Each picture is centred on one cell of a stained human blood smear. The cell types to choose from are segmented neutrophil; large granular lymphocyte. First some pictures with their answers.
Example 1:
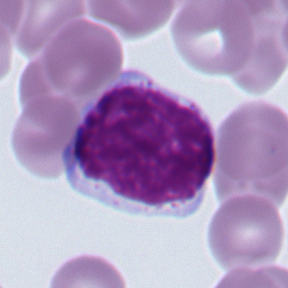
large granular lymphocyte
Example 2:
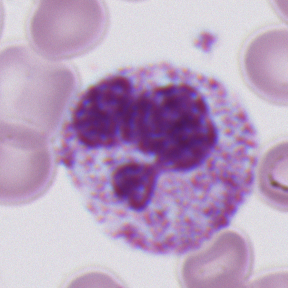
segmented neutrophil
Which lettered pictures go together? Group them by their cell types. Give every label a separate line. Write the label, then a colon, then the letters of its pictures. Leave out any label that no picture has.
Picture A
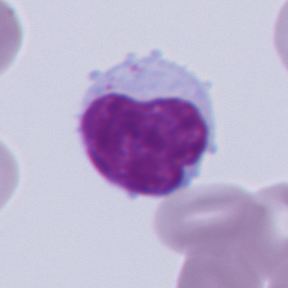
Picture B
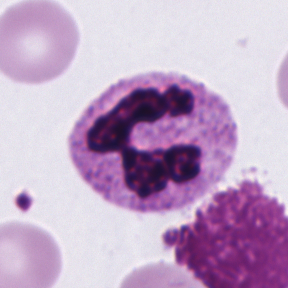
segmented neutrophil: B
large granular lymphocyte: A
